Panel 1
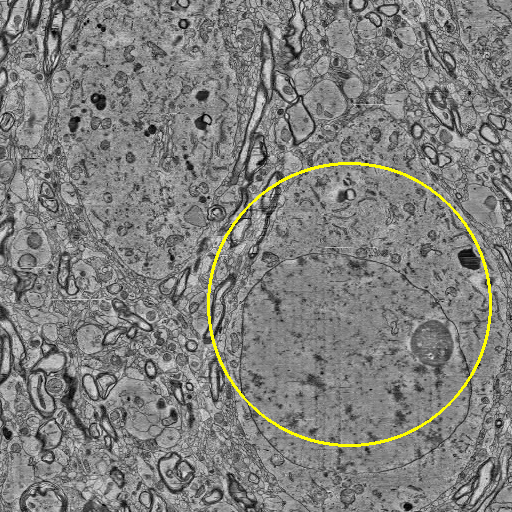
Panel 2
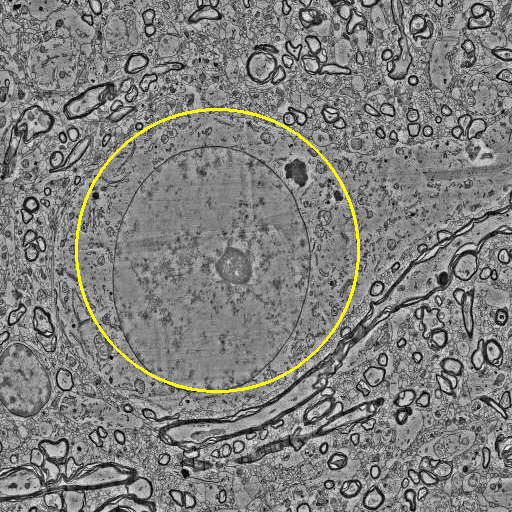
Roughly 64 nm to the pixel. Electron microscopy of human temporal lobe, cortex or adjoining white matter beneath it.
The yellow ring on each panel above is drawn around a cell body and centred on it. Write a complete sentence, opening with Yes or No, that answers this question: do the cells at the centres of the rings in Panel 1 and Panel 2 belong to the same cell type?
Yes, both cells belong to the same cell type.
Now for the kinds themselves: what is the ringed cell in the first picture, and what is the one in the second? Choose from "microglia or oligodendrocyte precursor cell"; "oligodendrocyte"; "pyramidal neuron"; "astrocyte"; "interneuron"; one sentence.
The second cell is a pyramidal neuron, just as the first is.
